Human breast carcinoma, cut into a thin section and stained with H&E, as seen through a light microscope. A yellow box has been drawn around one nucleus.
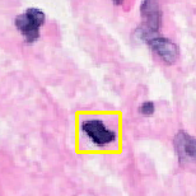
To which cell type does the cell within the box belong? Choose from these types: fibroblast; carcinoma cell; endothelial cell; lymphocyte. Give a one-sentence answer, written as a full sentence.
The cell type represented by the cell within the box is that of a lymphocyte.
